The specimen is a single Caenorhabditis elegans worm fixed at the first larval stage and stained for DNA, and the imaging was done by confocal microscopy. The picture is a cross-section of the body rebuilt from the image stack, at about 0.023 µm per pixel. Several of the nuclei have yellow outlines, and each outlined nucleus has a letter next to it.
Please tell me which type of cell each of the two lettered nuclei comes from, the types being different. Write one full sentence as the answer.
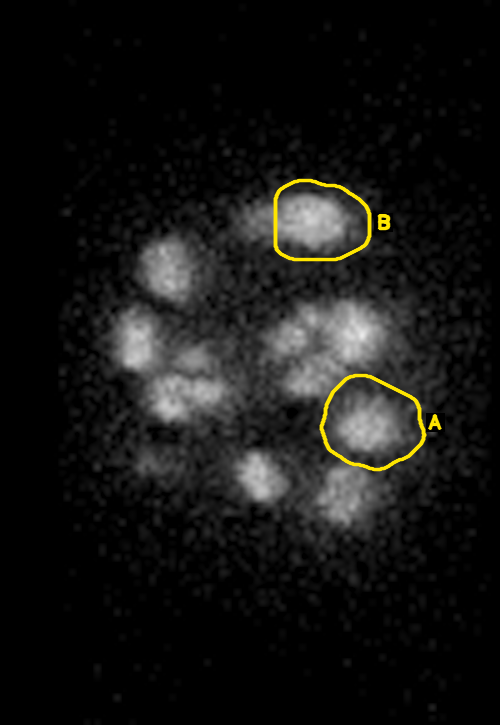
The nucleus A is that of a glial cell (sheath or socket), while B is that of a body wall muscle cell.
